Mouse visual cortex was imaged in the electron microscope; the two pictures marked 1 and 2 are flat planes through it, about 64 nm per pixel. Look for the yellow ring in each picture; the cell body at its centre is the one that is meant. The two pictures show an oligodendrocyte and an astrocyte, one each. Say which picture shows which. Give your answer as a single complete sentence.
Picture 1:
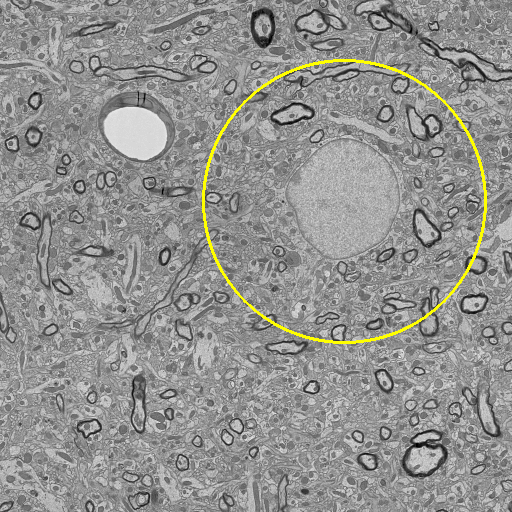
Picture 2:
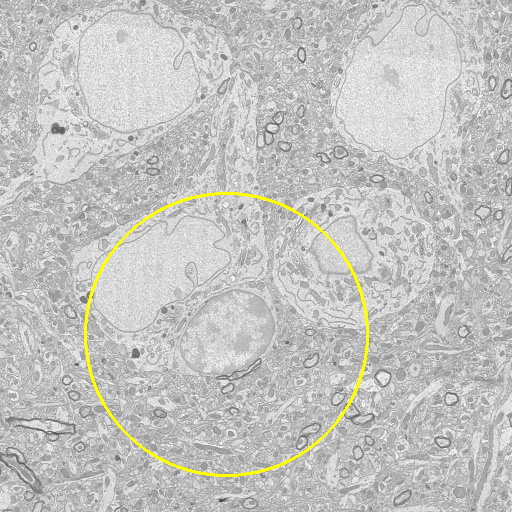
Picture 2 shows an oligodendrocyte, while picture 1 shows an astrocyte.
